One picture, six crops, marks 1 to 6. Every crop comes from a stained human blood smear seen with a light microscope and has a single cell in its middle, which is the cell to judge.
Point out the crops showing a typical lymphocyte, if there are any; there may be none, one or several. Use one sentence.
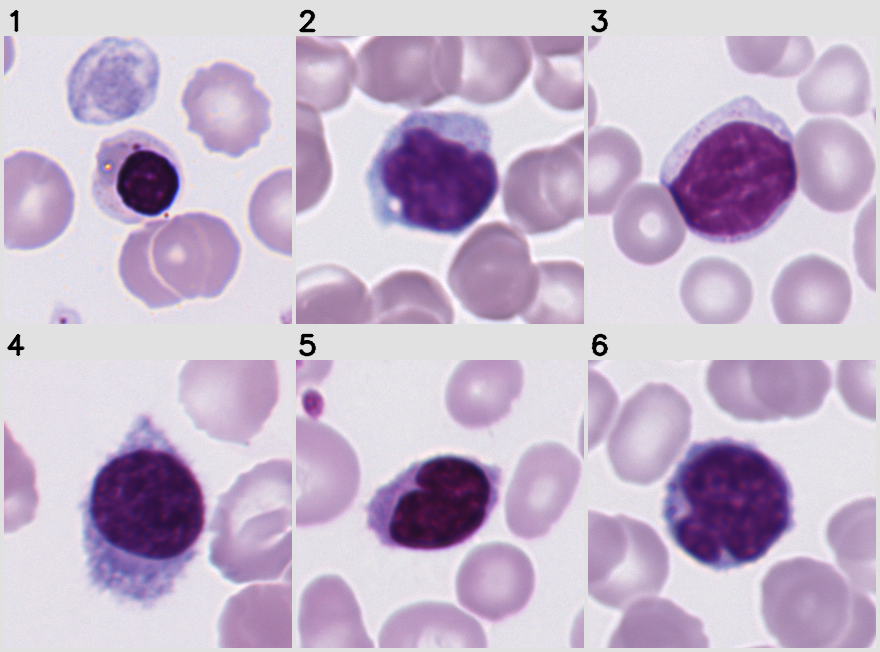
The cells in the middle of crops 2, 5 and 6 count as typical lymphocytes.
